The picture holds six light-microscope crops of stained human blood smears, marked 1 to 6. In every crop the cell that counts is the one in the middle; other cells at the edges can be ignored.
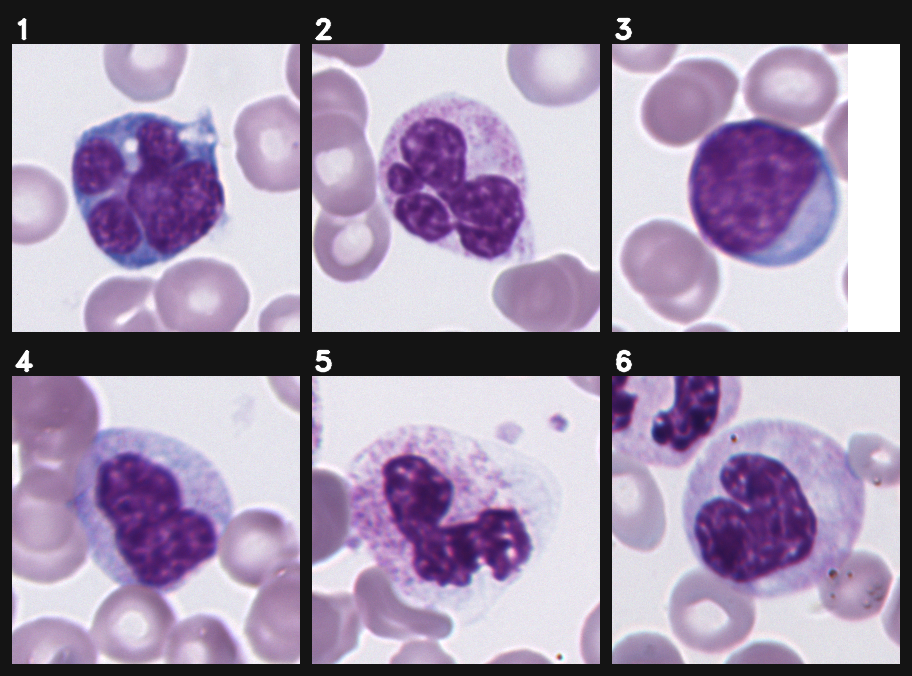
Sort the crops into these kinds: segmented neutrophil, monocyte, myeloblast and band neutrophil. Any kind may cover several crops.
1: monocyte
2: segmented neutrophil
3: myeloblast
4: band neutrophil
5: band neutrophil
6: band neutrophil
